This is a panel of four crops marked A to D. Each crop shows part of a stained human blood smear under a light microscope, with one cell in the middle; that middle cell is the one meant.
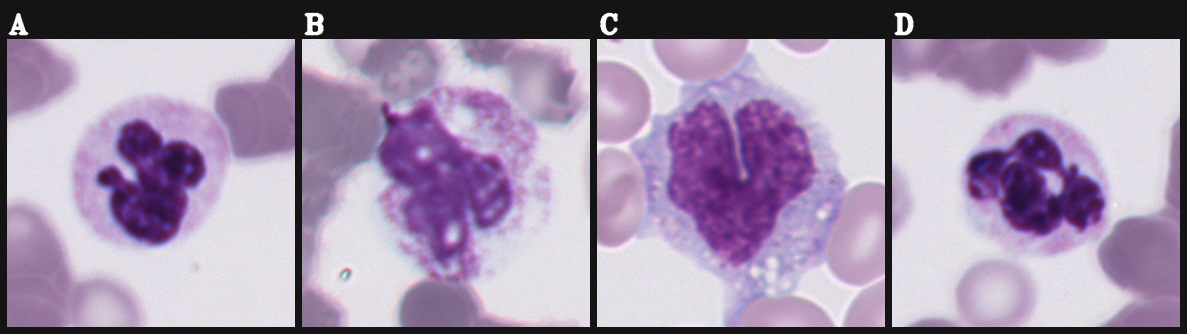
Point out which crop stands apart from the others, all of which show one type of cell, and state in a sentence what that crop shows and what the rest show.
The pattern of segmented neutrophils across the crops is broken only by crop C, which shows a monocyte.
